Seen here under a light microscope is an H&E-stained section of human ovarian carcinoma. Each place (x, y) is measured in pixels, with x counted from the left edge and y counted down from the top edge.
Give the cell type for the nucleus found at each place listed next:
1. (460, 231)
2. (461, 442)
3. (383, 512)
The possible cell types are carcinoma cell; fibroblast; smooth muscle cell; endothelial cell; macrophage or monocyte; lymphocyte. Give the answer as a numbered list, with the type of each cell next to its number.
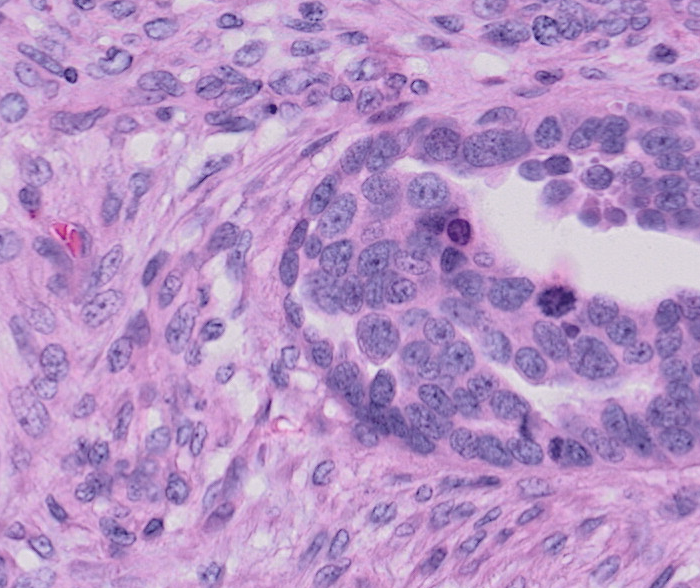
1. carcinoma cell
2. carcinoma cell
3. fibroblast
